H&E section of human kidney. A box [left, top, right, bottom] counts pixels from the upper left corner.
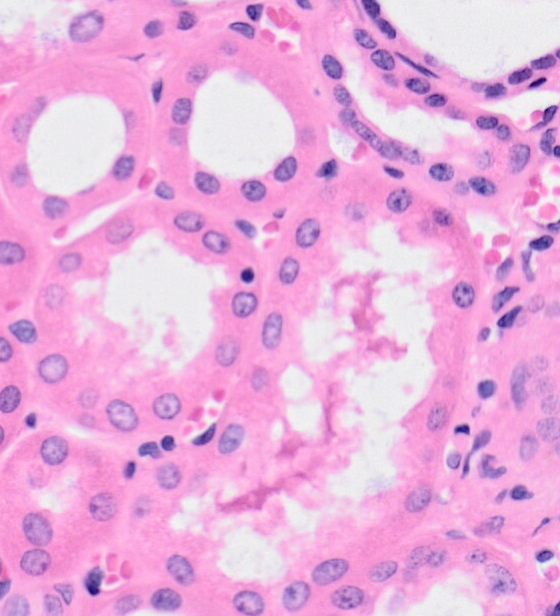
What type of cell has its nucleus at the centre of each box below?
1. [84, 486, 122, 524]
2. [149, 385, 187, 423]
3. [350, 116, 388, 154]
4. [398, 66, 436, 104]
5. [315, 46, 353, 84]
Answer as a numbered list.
1. proximal tubule cell
2. proximal tubule cell
3. collecting duct cell
4. collecting duct cell
5. collecting duct cell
